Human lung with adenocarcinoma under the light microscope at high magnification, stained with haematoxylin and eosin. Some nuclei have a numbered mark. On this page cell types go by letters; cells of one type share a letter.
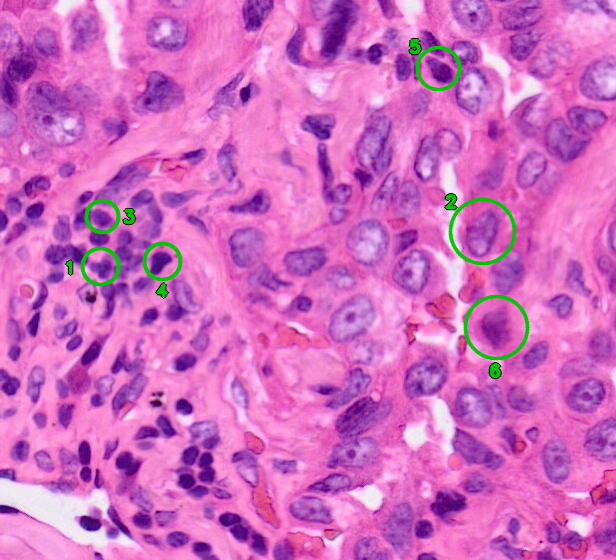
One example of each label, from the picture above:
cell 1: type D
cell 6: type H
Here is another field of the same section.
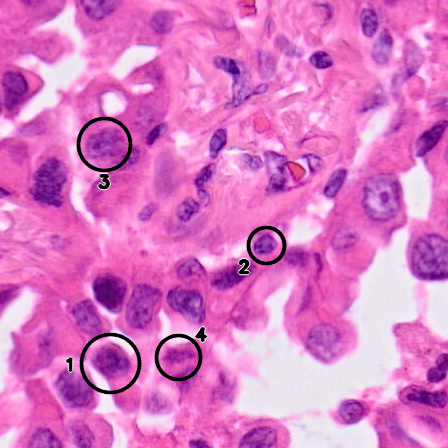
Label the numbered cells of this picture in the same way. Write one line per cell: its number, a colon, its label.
1: type H
2: type D
3: type H
4: type H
